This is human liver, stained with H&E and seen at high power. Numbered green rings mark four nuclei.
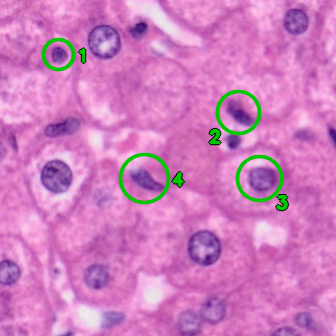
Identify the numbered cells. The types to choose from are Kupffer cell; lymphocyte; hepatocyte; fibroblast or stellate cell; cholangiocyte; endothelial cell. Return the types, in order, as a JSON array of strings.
["lymphocyte", "fibroblast or stellate cell", "hepatocyte", "fibroblast or stellate cell"]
